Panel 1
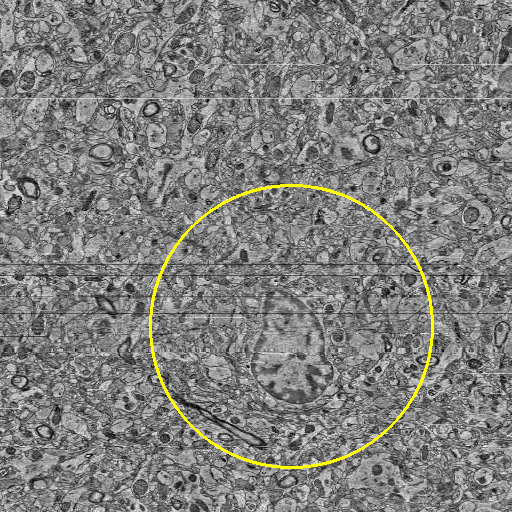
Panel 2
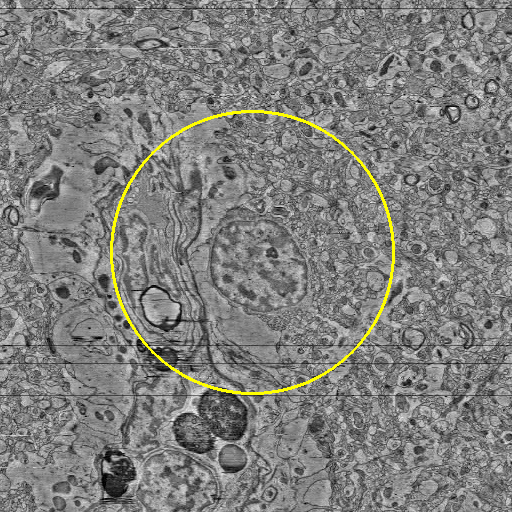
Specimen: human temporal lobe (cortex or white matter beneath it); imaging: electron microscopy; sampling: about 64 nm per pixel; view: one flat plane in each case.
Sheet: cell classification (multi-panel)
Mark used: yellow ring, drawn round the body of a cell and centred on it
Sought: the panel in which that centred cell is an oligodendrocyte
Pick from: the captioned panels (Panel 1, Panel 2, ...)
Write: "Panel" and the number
Panel 2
